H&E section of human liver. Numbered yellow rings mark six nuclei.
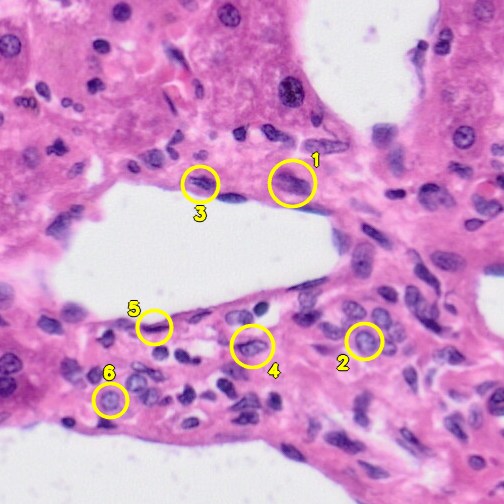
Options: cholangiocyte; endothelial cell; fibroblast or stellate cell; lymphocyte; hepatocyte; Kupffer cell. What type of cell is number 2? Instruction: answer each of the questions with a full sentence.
Cell 2 is classified as a cholangiocyte.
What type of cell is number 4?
The cell to which the number 4 is assigned is a fibroblast or stellate cell.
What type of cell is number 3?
The cell that goes by number 3 is a fibroblast or stellate cell.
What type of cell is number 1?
What the number 1 marks in this field is a fibroblast or stellate cell.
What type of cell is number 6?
Heads up, the cell numbered 6 is a cholangiocyte.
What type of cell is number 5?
The nucleus with number 5 is that of a fibroblast or stellate cell.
